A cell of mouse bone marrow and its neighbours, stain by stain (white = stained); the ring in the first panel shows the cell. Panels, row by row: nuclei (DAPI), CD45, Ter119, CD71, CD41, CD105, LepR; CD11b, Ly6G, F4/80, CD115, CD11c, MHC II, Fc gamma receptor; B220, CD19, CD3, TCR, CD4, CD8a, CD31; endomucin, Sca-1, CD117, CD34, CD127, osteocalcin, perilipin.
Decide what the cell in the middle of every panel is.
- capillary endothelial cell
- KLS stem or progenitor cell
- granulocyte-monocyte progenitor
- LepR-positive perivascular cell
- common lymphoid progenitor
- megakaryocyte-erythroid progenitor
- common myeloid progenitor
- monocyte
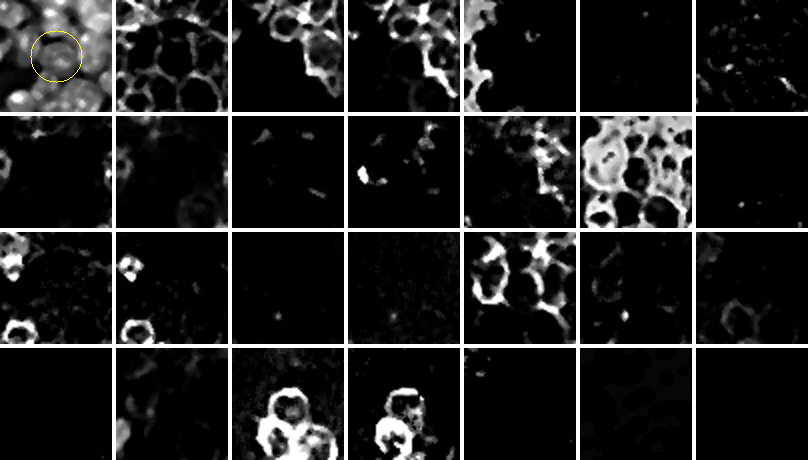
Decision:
common myeloid progenitor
